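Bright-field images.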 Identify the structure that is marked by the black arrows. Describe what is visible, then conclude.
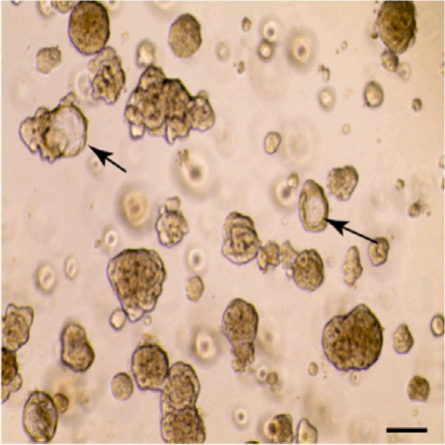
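The arrows point to rounded structures with a thin cellular wall around a clear, lighter centre. Neighbouring structures are compact, dark and solid throughout.
Hence: cystic organoids.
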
